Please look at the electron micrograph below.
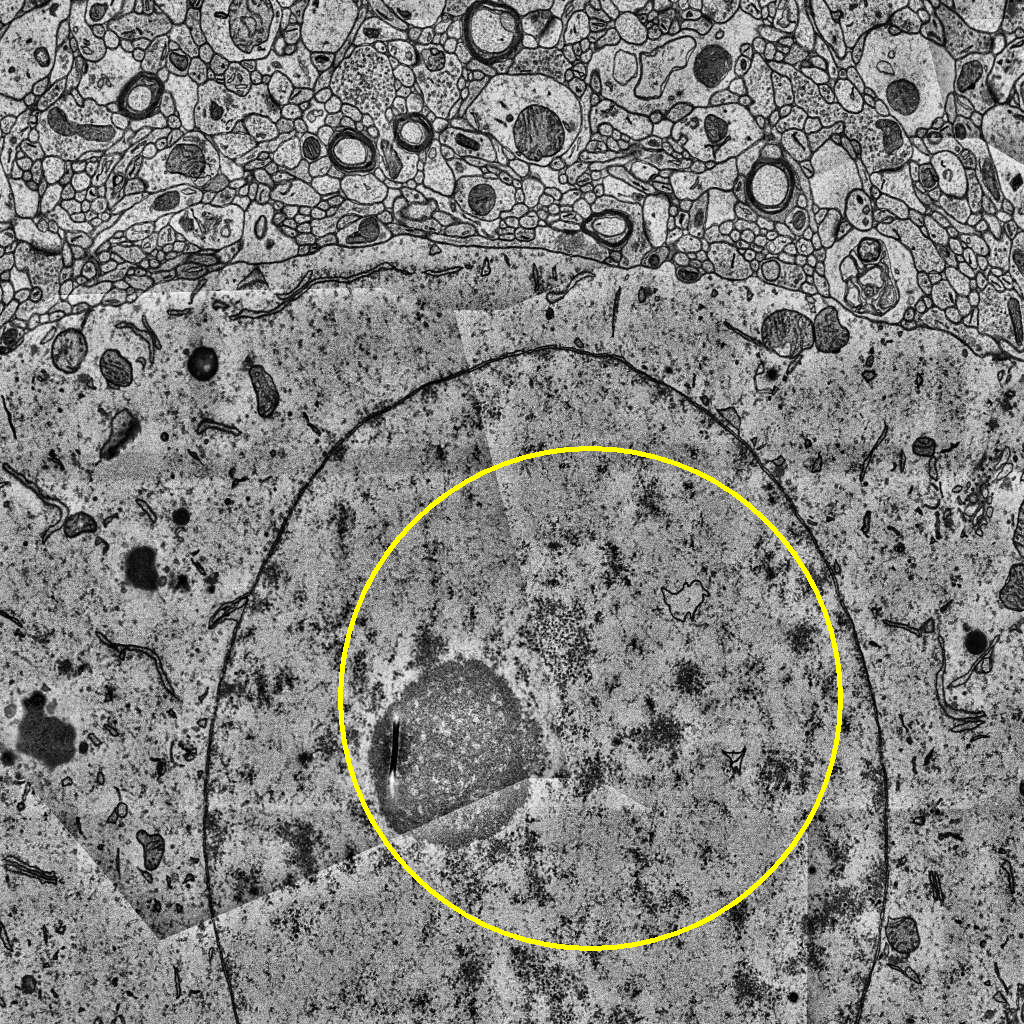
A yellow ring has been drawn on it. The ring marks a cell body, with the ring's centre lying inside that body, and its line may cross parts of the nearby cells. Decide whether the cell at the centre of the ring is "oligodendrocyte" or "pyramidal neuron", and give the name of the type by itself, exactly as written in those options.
pyramidal neuron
